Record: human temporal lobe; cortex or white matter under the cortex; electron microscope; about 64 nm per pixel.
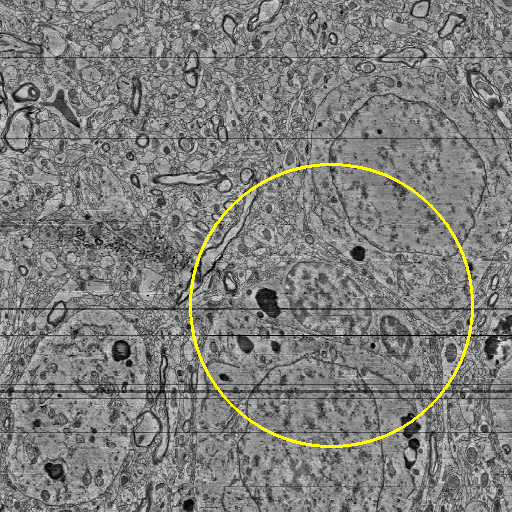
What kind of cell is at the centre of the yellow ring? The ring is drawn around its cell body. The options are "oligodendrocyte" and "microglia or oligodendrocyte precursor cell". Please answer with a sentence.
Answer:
The yellow ring marks the cell body of an oligodendrocyte.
